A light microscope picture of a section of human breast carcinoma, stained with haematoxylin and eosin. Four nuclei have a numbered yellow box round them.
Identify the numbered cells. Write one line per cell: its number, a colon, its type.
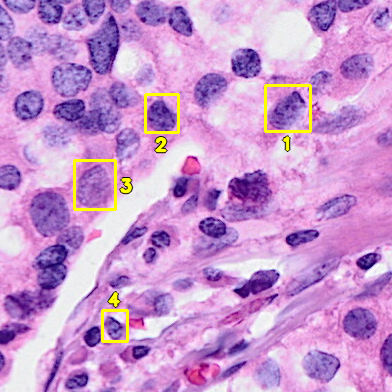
1: carcinoma cell
2: carcinoma cell
3: carcinoma cell
4: endothelial cell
